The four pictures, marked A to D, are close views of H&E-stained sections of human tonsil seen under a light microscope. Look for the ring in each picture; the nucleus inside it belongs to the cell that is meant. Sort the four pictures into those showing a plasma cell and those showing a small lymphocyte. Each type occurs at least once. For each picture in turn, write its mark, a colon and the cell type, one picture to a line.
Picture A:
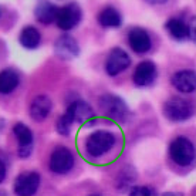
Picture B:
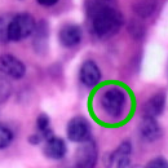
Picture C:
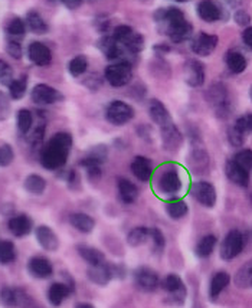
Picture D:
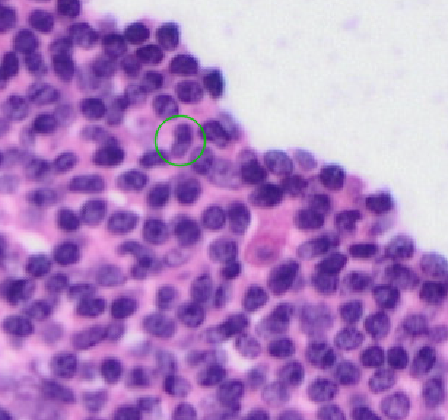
A: plasma cell
B: plasma cell
C: plasma cell
D: small lymphocyte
